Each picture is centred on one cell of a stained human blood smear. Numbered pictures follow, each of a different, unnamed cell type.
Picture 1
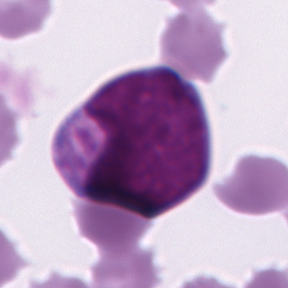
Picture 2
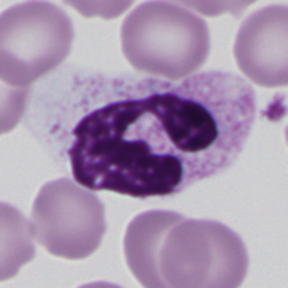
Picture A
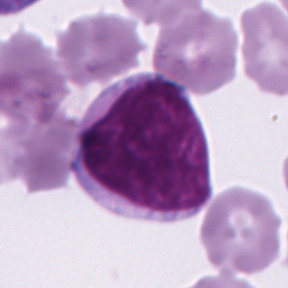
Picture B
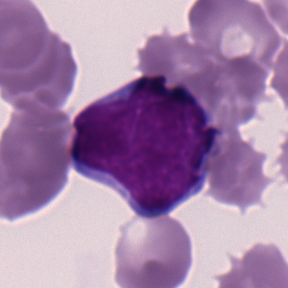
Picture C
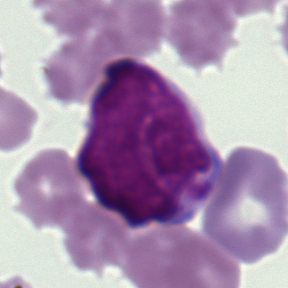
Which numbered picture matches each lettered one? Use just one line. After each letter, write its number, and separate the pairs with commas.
A 1, B 1, C 1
